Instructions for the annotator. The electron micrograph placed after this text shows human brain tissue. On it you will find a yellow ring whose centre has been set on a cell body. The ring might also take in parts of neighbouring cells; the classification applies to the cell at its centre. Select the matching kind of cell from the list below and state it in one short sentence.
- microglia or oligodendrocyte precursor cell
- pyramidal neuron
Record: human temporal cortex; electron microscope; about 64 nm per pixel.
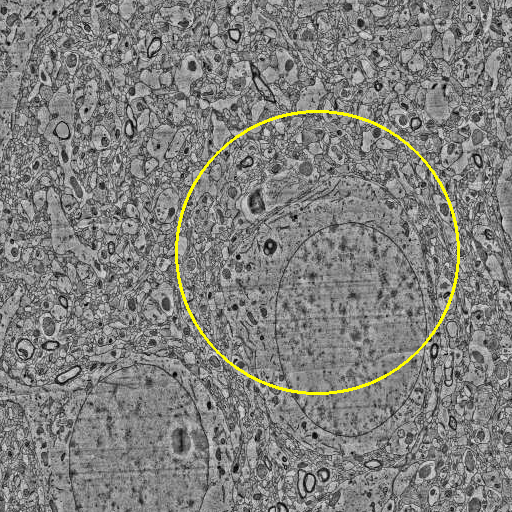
The ring is drawn on the cell body of a pyramidal neuron.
